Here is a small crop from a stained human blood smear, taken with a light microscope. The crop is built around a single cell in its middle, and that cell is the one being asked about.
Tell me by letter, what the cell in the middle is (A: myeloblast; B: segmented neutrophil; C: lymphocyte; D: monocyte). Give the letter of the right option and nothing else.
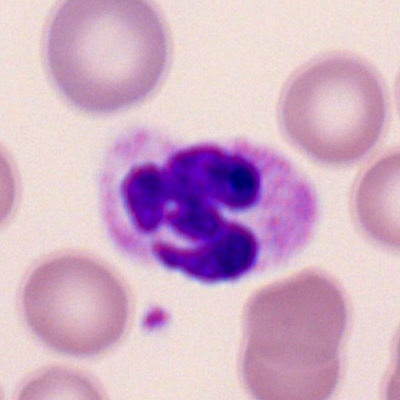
B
